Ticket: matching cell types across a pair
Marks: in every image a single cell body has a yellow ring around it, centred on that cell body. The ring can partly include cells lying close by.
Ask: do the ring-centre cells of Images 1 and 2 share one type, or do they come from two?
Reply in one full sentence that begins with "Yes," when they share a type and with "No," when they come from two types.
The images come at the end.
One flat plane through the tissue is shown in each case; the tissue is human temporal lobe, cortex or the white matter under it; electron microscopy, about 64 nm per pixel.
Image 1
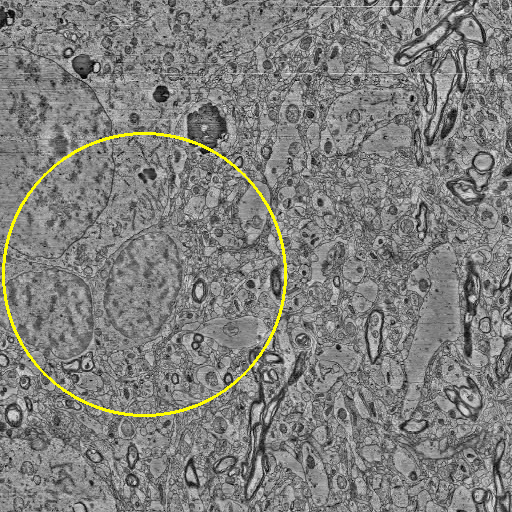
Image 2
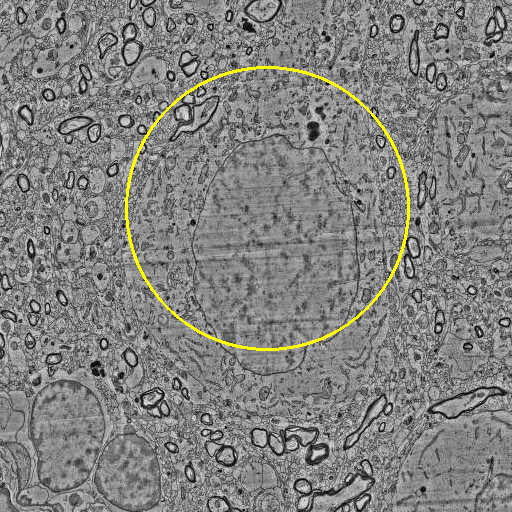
No, the cells in the centres of the rings in Image 1 and Image 2 come from two types.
